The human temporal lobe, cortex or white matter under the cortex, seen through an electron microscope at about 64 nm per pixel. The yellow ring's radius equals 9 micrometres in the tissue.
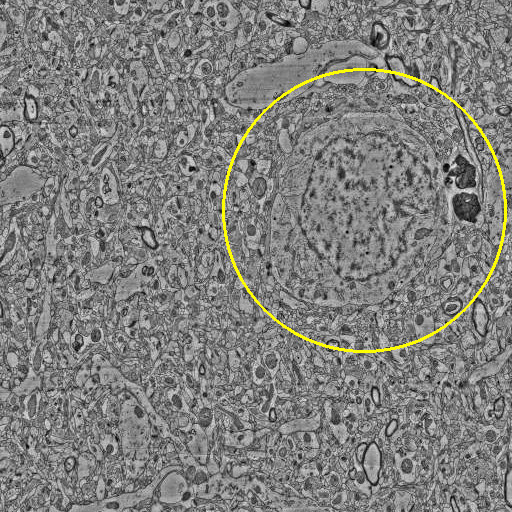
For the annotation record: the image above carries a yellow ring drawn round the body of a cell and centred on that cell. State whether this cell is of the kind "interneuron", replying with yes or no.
Yes, this cell is of that kind.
